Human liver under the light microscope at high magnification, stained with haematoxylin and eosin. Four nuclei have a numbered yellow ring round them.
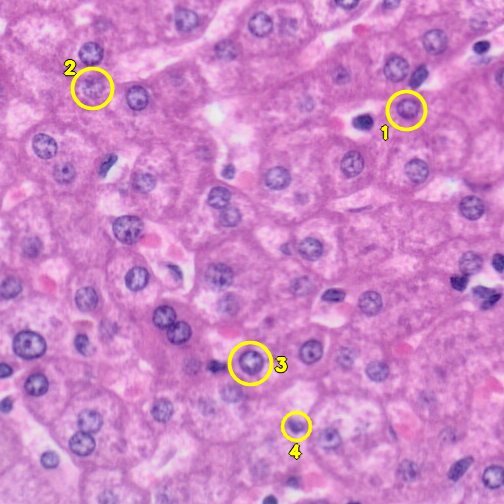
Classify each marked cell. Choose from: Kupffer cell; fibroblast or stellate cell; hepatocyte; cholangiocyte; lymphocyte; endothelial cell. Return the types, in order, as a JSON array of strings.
["hepatocyte", "hepatocyte", "hepatocyte", "fibroblast or stellate cell"]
